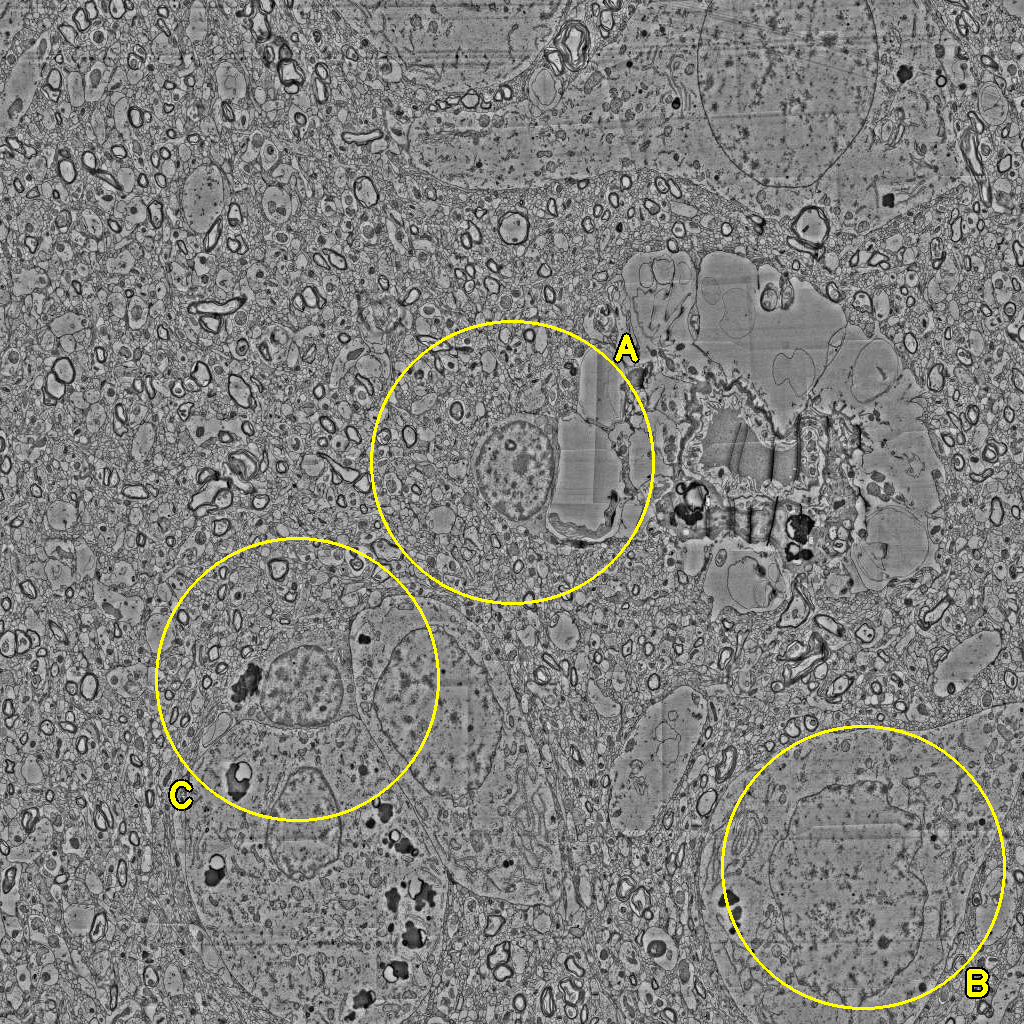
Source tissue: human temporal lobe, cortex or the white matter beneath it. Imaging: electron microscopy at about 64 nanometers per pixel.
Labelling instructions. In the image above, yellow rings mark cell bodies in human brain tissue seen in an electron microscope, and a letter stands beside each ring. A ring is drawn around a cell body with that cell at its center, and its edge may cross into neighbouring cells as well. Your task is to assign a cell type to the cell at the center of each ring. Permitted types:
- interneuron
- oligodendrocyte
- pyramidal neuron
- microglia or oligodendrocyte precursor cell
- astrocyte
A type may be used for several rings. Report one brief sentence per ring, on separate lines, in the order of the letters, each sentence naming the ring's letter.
The cell at the center of ring A is an oligodendrocyte.
The cell at the center of ring B is a pyramidal neuron.
The cell at the center of ring C is an oligodendrocyte.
